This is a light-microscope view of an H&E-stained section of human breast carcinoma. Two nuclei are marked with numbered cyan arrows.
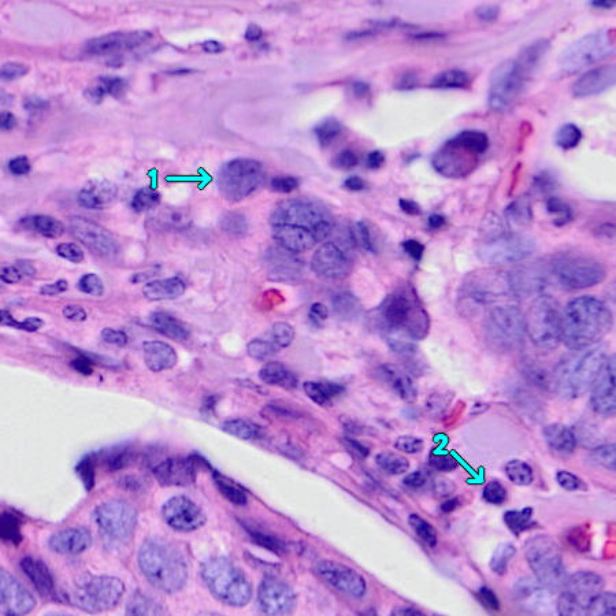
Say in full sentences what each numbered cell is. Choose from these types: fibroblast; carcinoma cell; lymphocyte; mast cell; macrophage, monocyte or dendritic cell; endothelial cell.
Cell 1 is a carcinoma cell. Cell 2 is a lymphocyte.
